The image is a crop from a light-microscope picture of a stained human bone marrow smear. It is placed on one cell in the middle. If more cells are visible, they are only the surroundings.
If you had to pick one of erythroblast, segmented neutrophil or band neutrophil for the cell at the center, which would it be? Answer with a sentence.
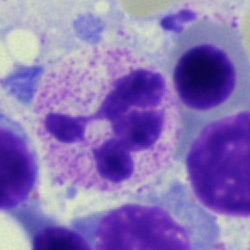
Framed in the middle of the crop is a segmented neutrophil.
